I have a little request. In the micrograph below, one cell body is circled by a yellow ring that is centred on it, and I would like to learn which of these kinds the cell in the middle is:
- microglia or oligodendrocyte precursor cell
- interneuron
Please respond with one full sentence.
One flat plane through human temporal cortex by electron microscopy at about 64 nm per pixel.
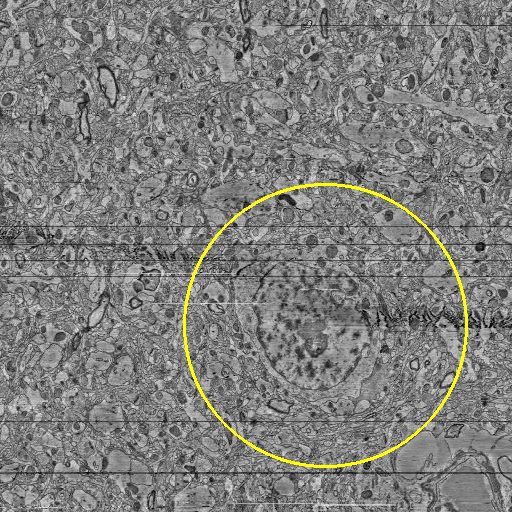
The cell sitting in the middle of the yellow ring in the micrograph is an interneuron.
